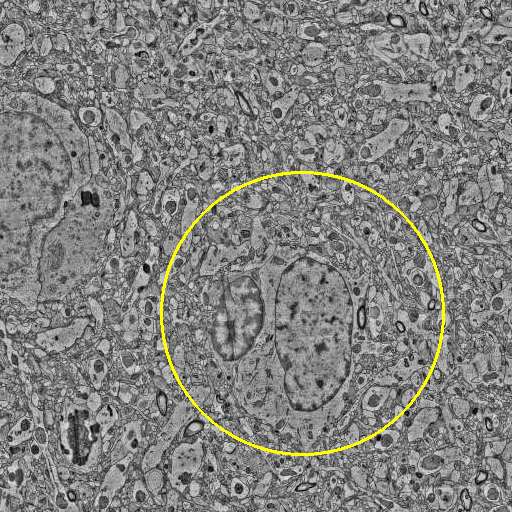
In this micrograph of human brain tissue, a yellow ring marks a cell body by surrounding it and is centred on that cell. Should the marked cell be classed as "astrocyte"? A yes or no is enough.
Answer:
no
